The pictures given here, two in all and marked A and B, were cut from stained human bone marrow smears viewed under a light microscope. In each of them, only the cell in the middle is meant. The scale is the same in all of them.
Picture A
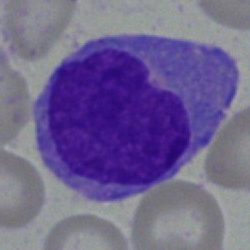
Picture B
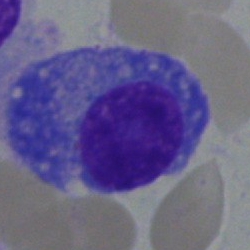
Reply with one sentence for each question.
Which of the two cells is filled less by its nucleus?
In picture B the nucleus takes up the smaller part of its cell.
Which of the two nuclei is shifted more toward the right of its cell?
Seen within its cell, the nucleus in picture B lies further toward the right.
